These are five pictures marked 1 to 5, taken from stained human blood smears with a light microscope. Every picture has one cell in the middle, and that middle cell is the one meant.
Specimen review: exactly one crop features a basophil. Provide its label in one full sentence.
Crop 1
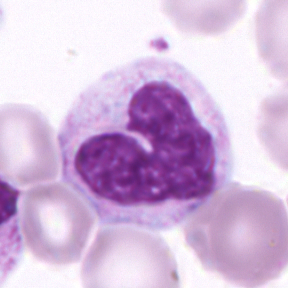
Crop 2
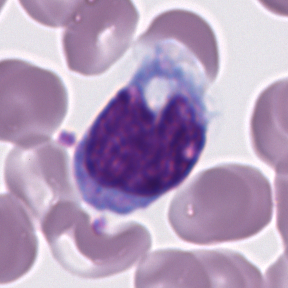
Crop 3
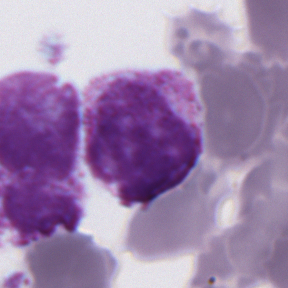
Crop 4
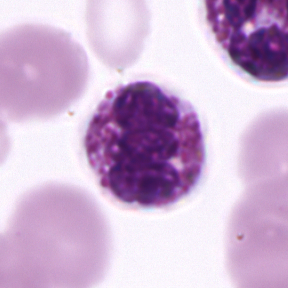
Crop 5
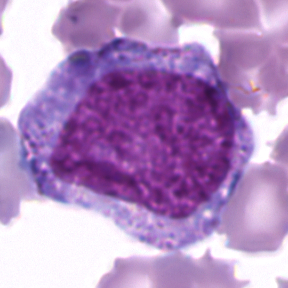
Crop 3 is the one in the set with a basophil at the center.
